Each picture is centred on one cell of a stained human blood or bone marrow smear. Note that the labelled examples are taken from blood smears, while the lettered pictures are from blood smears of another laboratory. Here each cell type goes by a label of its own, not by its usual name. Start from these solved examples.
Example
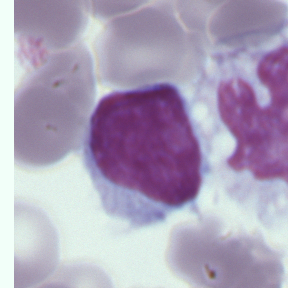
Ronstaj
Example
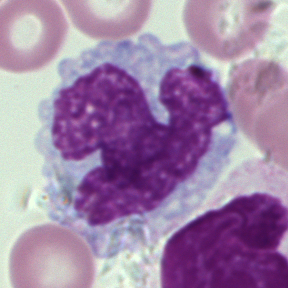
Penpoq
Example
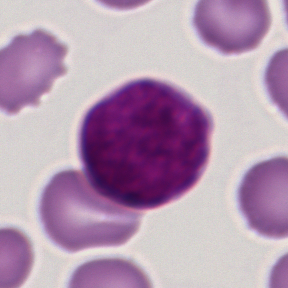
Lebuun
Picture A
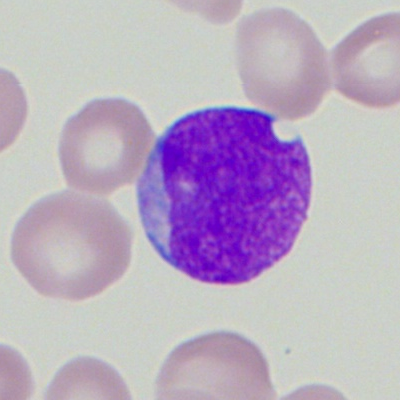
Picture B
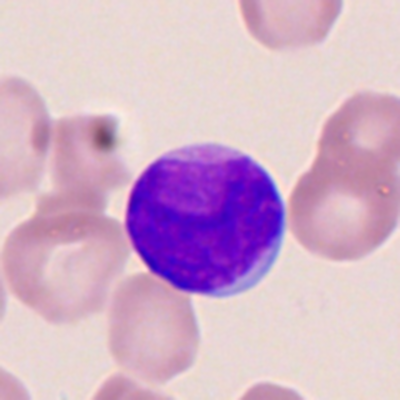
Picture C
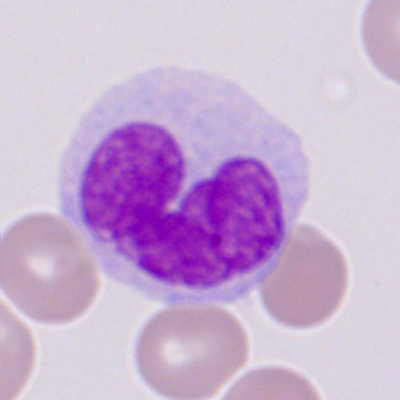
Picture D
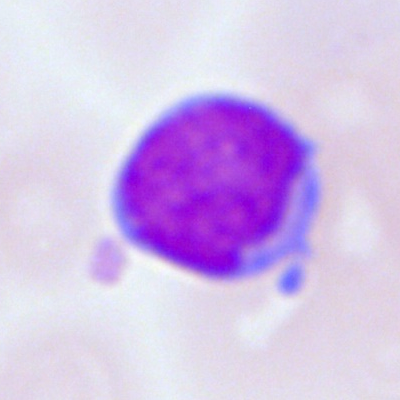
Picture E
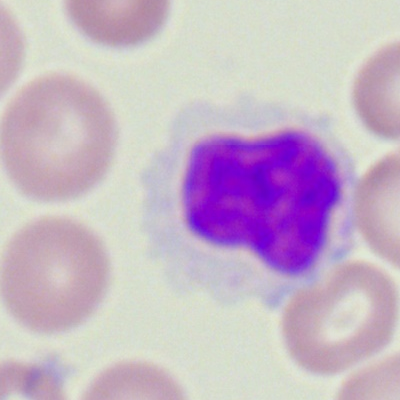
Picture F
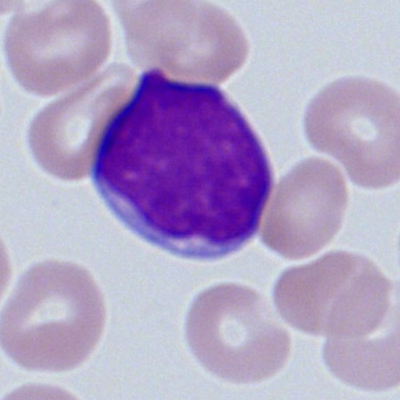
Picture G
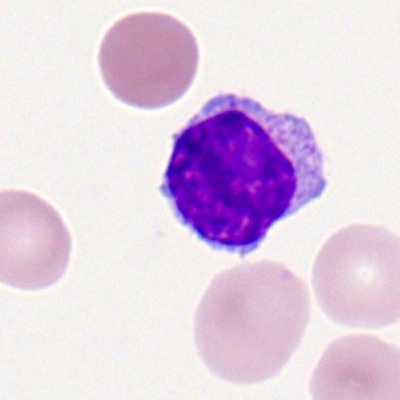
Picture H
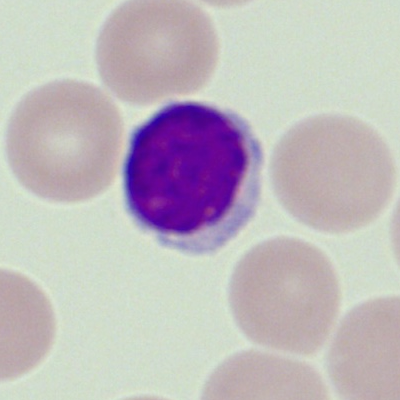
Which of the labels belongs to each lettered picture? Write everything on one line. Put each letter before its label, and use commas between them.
A Lebuun, B Lebuun, C Penpoq, D Lebuun, E Ronstaj, F Lebuun, G Ronstaj, H Ronstaj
